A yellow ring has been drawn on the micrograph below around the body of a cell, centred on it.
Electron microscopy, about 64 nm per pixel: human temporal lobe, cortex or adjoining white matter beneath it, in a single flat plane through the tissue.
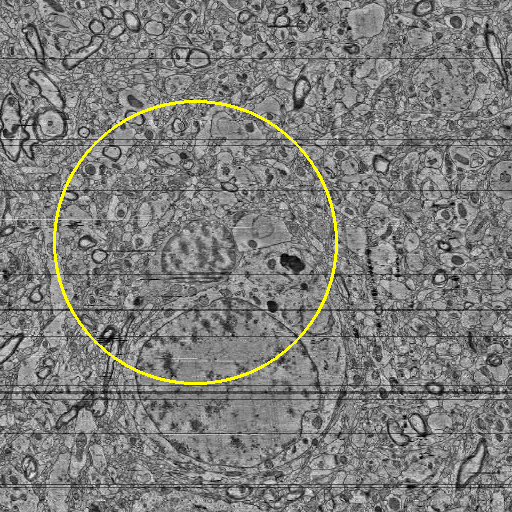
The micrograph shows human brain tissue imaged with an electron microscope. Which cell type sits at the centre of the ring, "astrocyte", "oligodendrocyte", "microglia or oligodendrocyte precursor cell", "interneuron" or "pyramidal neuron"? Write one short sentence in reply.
The cell sitting at the centre of the ring is an oligodendrocyte.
